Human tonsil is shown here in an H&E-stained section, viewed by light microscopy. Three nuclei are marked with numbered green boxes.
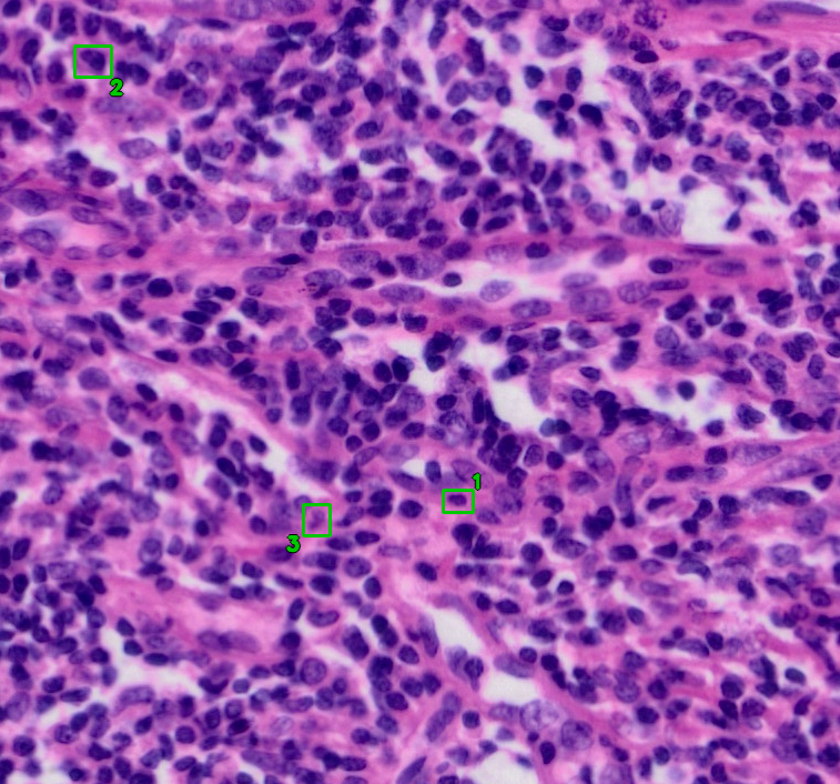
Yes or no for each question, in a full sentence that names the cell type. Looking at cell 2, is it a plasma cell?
Yes, that is correct: the cell numbered 2 is a plasma cell.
